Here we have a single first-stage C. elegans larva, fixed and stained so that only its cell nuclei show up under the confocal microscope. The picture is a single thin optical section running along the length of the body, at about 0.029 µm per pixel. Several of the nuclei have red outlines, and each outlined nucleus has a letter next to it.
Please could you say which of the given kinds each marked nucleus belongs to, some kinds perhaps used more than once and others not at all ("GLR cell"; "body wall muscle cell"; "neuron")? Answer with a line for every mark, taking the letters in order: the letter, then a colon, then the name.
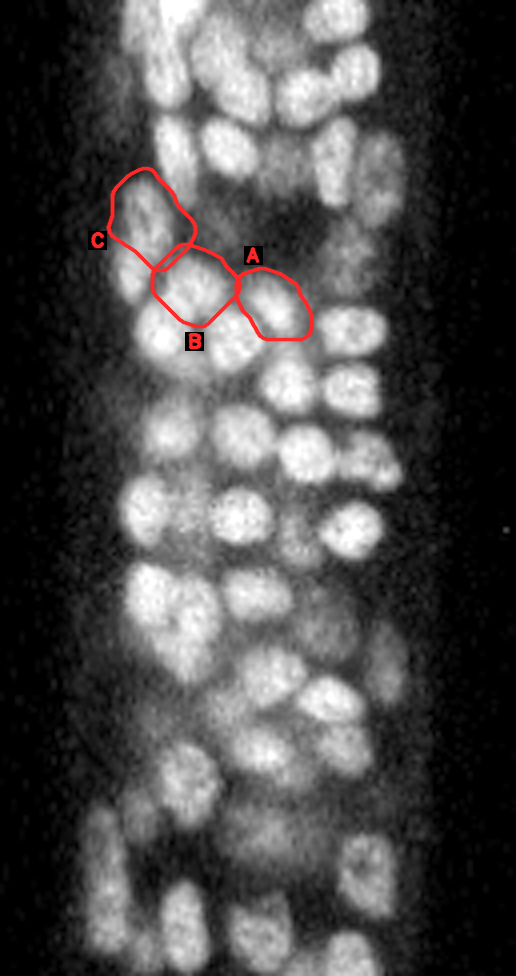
A: GLR cell
B: neuron
C: body wall muscle cell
